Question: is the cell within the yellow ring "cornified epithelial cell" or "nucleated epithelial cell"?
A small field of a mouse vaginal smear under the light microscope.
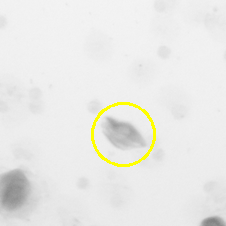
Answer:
cornified epithelial cell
